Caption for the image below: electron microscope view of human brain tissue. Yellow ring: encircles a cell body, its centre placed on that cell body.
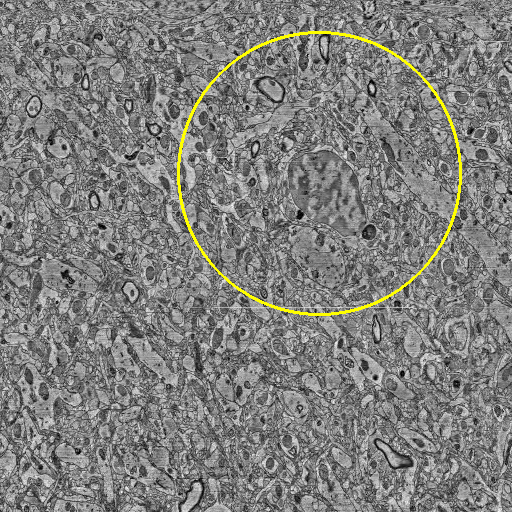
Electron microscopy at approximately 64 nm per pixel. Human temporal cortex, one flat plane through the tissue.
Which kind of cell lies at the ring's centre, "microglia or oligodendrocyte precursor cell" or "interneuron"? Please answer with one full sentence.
The picture shows a microglial cell or oligodendrocyte precursor cell at the centre of the yellow ring.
